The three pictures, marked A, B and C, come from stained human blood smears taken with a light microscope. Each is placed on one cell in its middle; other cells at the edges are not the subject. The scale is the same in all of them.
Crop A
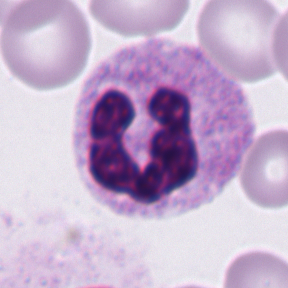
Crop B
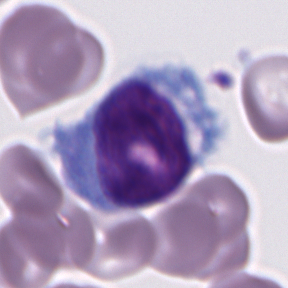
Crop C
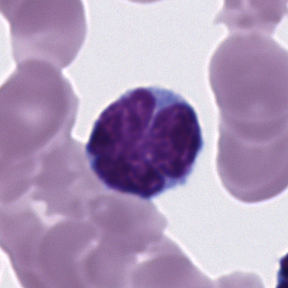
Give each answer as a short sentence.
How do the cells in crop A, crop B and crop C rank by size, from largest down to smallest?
Going down, they run A, B, C.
